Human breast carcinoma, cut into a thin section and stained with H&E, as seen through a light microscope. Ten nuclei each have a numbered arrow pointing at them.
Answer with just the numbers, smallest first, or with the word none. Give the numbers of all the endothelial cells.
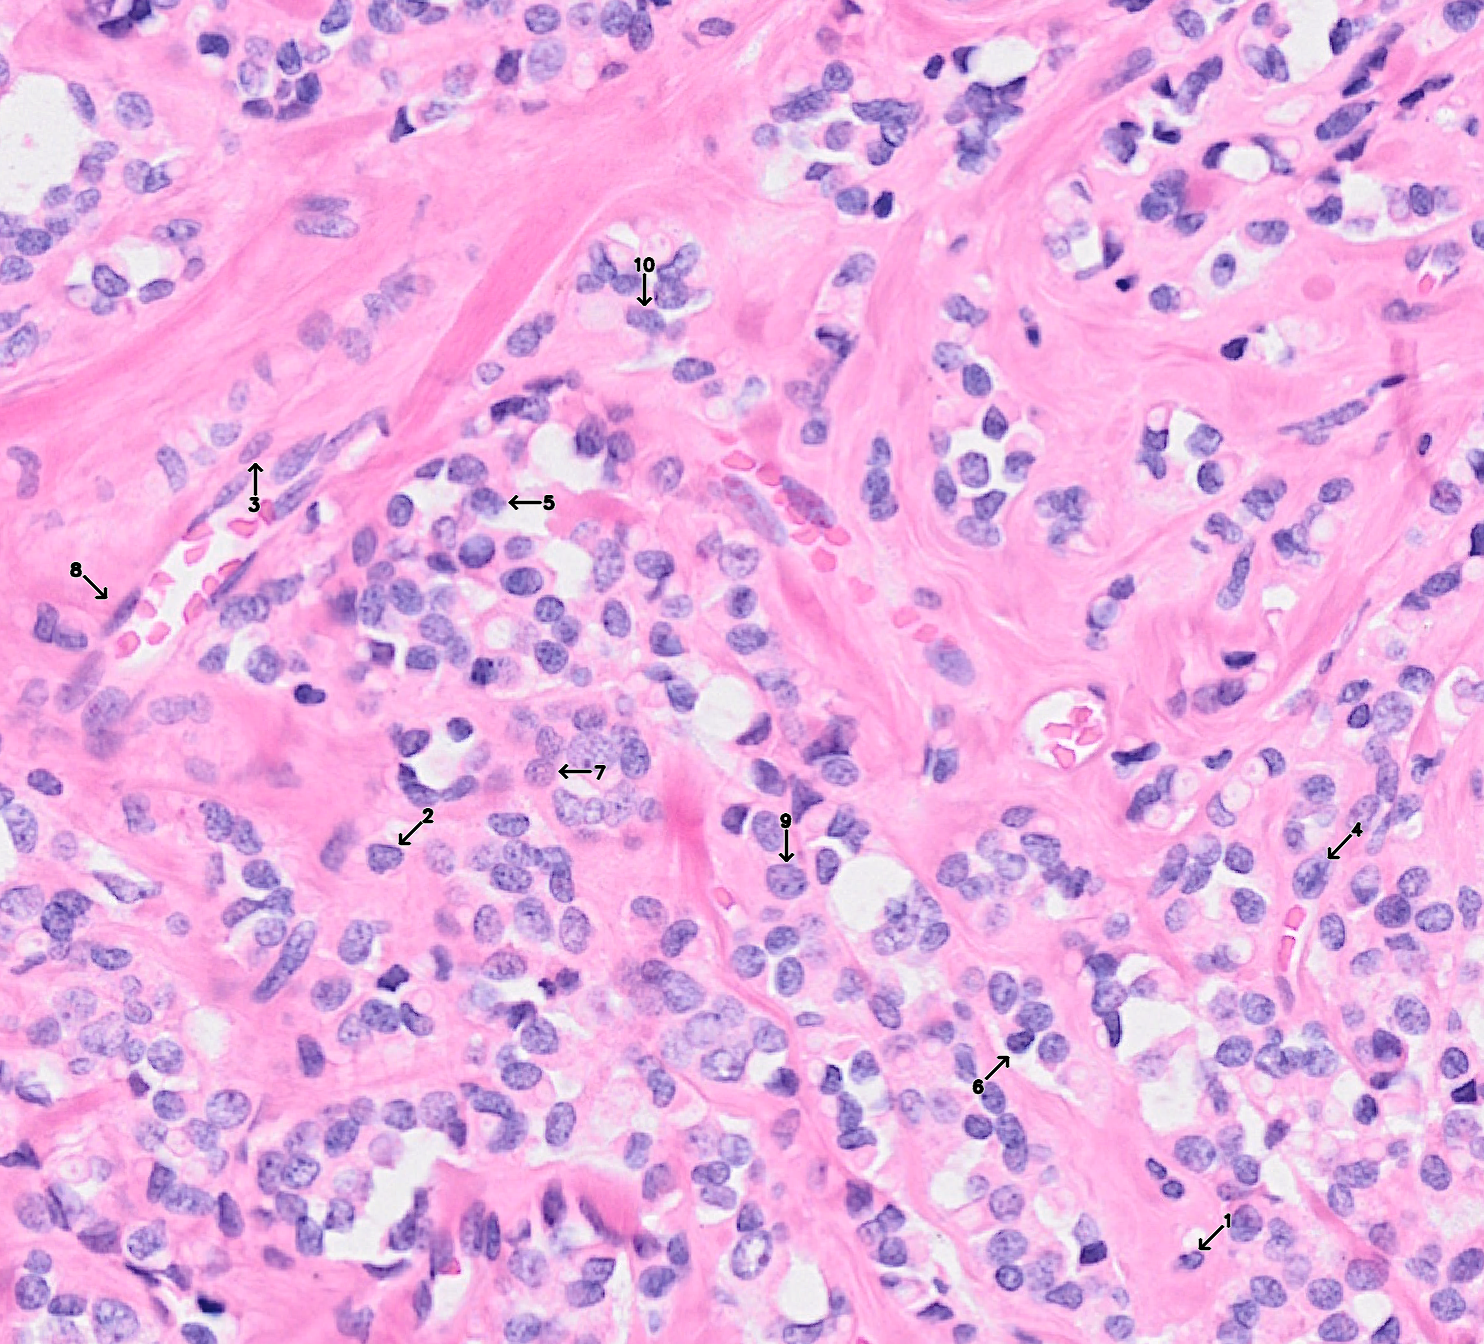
1, 3, 4, 8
